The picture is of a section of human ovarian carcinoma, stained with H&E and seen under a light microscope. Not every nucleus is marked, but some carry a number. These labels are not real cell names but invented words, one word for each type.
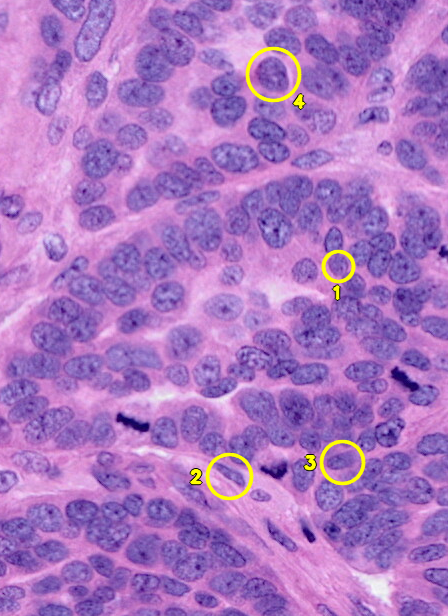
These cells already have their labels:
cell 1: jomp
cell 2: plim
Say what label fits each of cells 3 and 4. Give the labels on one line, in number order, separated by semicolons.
jomp; jomp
